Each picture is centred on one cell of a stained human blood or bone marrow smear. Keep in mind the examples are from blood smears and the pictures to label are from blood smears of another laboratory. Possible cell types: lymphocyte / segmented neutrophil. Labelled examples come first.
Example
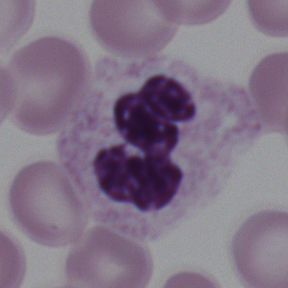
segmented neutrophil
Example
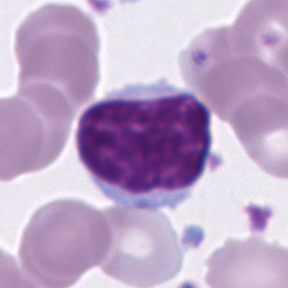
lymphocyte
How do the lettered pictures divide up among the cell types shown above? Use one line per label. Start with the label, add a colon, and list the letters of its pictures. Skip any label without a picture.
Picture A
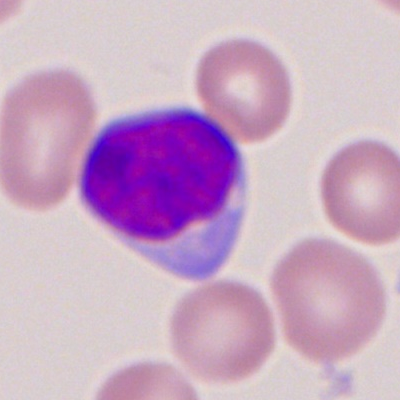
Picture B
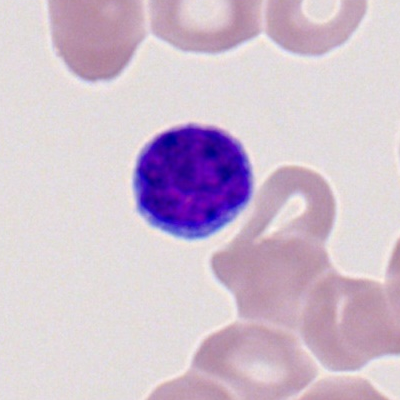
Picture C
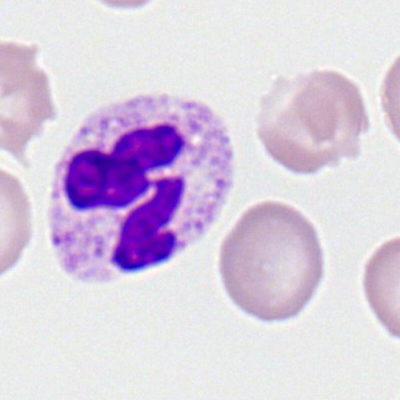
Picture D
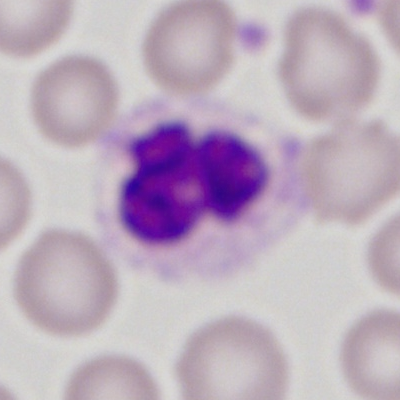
lymphocyte: A, B
segmented neutrophil: C, D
